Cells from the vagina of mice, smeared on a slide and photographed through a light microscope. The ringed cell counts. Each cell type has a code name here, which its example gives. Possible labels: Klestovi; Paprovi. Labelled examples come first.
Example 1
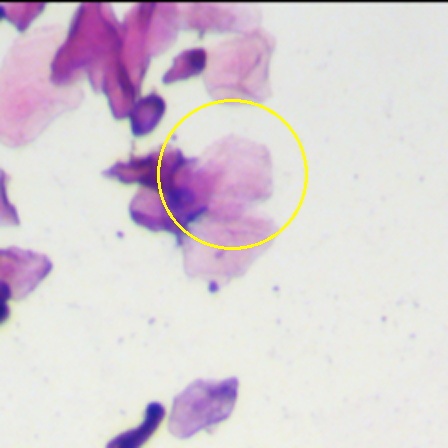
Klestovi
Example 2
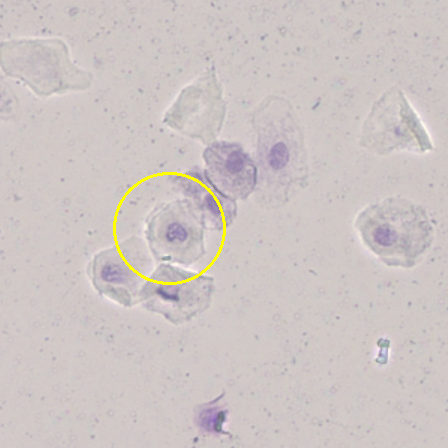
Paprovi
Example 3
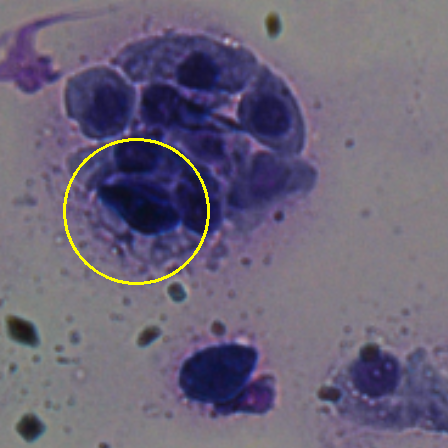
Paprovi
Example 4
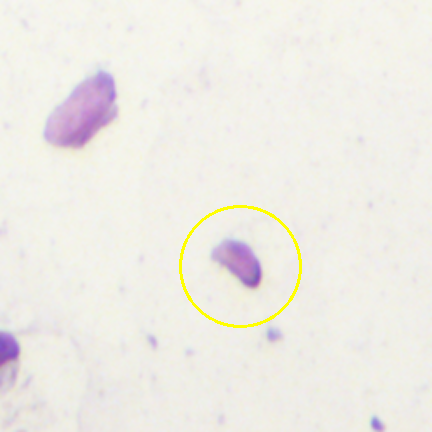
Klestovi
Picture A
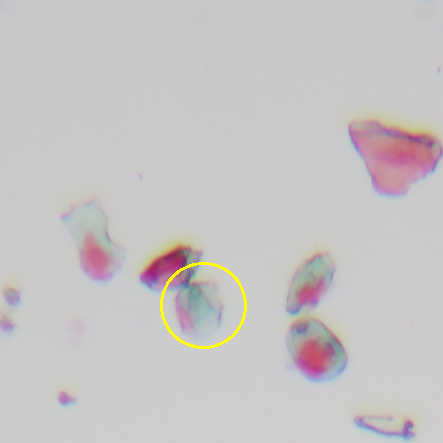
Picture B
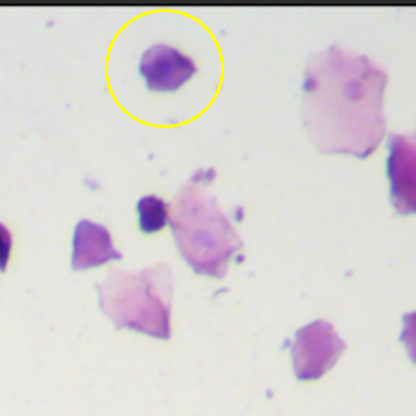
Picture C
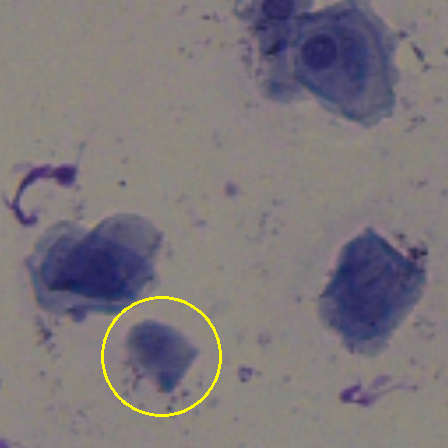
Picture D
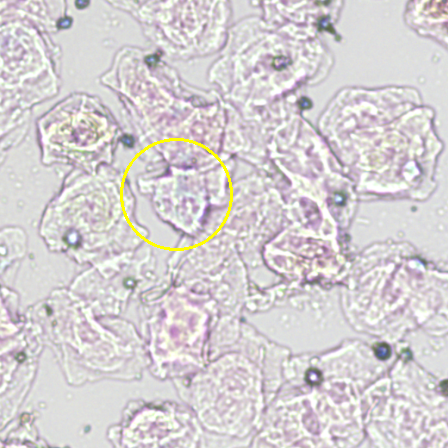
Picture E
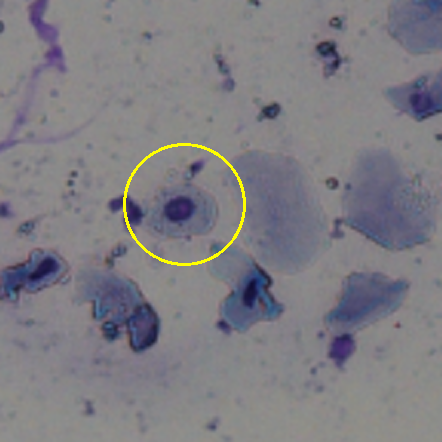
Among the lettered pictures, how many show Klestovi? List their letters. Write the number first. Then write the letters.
3: A, C, D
